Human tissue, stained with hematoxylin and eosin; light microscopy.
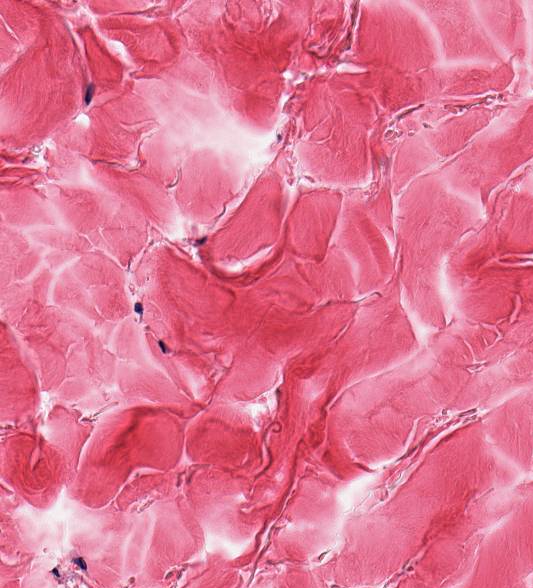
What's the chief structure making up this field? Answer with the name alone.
dermis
